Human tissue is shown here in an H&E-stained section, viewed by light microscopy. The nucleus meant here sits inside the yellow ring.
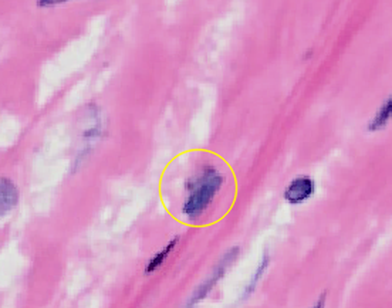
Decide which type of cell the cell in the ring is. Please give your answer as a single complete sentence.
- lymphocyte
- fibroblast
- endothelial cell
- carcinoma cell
For cell typing purposes, the cell in the ring is a lymphocyte.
